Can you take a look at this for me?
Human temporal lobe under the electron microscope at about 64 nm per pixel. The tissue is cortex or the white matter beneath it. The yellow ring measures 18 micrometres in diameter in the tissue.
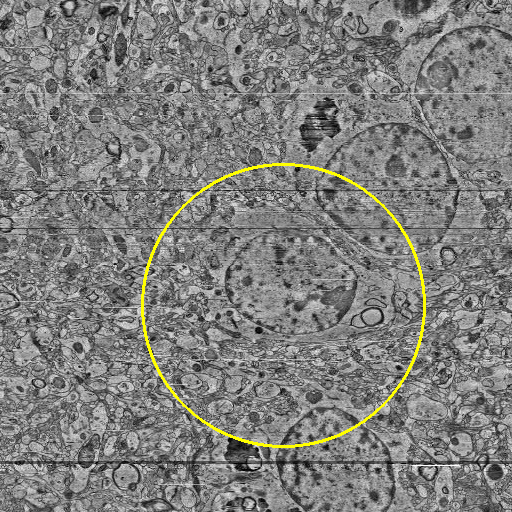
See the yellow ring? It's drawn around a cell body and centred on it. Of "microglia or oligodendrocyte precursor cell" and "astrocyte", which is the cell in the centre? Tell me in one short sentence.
The one in the centre is an astrocyte.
